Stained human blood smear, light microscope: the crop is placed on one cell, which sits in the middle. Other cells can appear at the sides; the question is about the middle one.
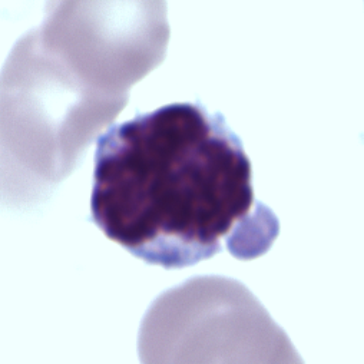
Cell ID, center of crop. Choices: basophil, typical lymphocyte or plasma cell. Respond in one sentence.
This crop's central cell is a typical lymphocyte.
